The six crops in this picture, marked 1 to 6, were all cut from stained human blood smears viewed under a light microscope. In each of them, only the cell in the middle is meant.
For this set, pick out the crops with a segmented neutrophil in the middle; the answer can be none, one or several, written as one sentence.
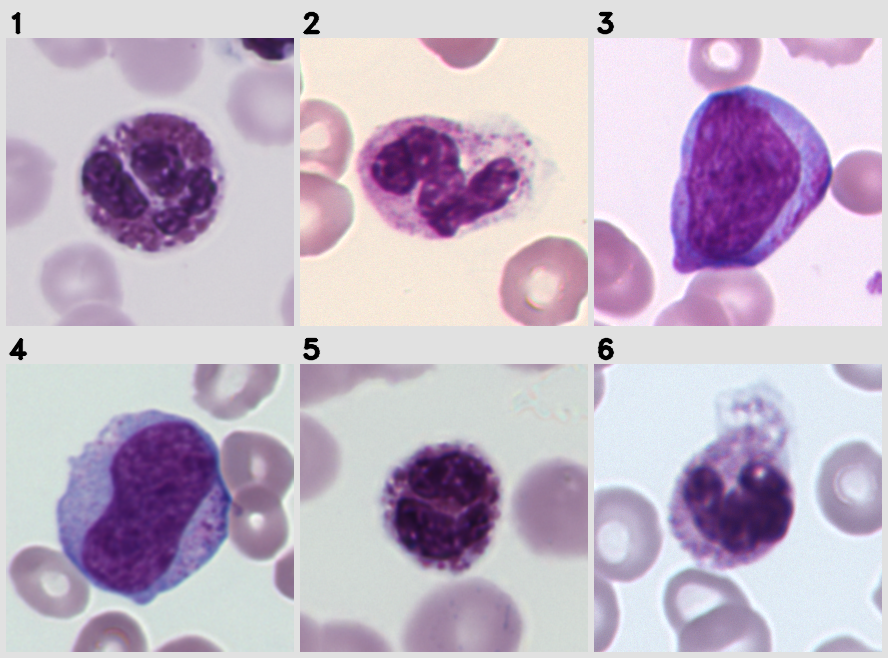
The cells in the middle of crops 2 and 6 count as segmented neutrophils.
